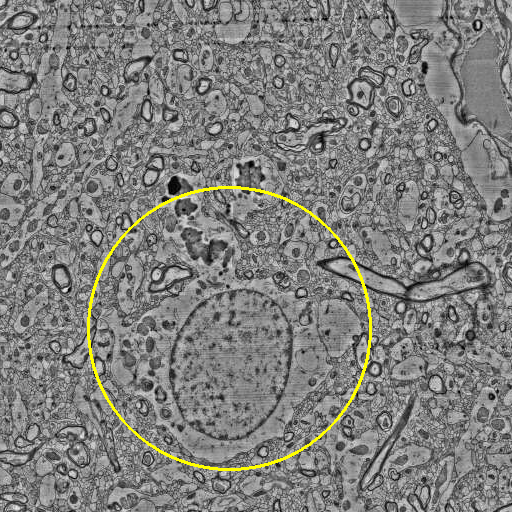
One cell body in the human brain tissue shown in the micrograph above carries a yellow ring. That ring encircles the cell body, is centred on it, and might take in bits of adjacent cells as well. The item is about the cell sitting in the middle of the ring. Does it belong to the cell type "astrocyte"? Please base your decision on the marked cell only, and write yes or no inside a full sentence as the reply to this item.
Yes, the cell at the middle of the ring in the micrograph is of this kind.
